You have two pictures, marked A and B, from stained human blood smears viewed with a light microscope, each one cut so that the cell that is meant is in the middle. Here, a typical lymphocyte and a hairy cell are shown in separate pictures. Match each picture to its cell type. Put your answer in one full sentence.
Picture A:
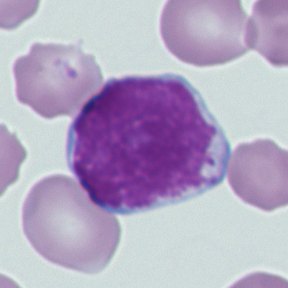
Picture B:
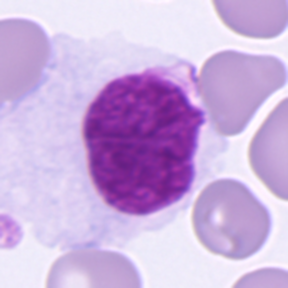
It is picture A that shows a typical lymphocyte, and picture B that shows a hairy cell.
